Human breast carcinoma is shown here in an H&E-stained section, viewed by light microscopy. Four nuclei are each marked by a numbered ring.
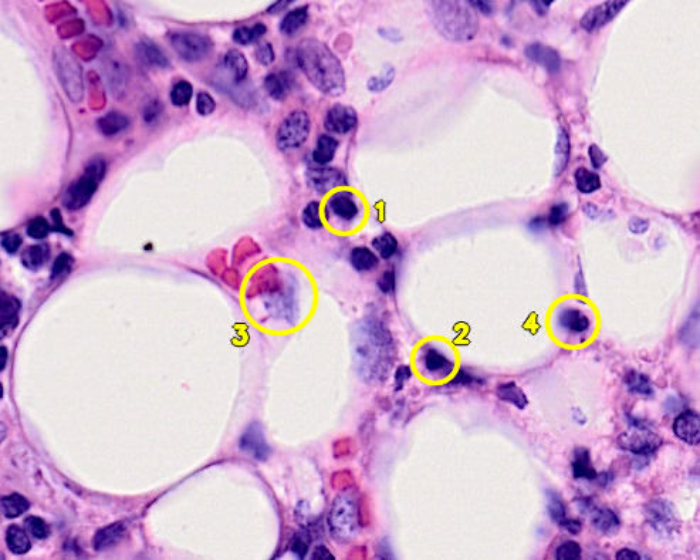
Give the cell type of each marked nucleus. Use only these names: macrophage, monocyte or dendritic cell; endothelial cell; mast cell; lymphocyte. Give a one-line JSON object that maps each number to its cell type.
{"1": "lymphocyte", "2": "lymphocyte", "3": "endothelial cell", "4": "lymphocyte"}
